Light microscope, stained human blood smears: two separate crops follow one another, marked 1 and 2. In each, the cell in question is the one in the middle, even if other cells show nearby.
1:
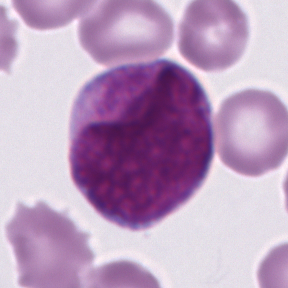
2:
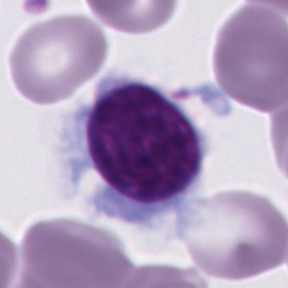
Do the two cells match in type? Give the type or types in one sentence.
No, the assignment should read crop 1, a blast; crop 2, a hairy cell.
